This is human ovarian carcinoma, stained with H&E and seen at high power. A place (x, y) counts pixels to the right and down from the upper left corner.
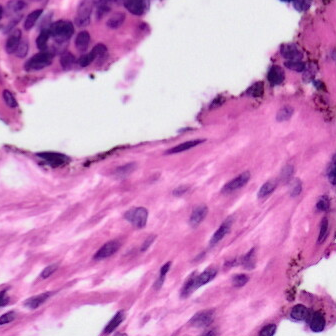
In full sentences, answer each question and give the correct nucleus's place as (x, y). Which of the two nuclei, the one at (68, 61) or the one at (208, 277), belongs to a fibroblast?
The one nucleus of the two that belongs to a fibroblast is at (208, 277).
